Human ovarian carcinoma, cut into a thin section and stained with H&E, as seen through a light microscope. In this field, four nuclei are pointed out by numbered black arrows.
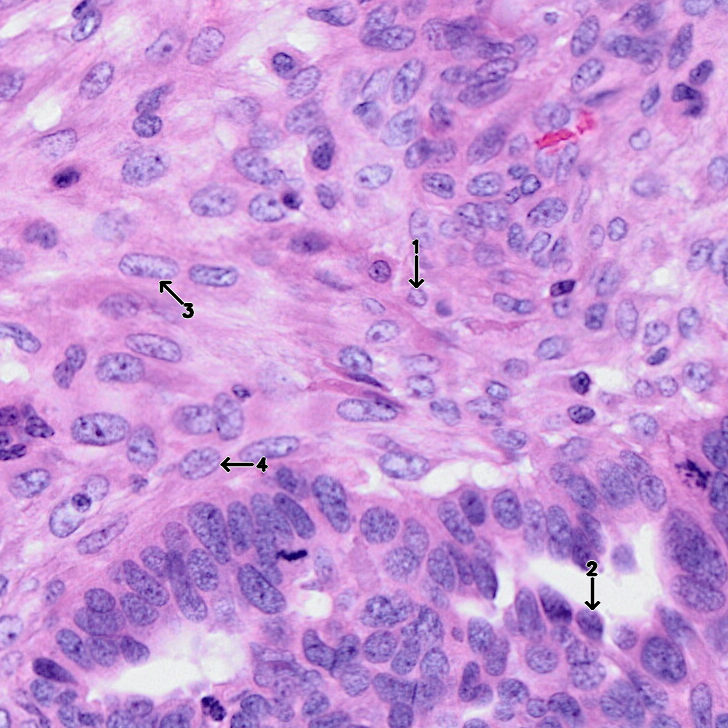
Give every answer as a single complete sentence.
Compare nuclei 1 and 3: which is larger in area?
At about 4 times the area of nucleus 1, nucleus 3 is the larger of the two.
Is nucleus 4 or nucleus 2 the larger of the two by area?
Of the two, number 4 is bigger and takes up about 1.5 times the area of number 2.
